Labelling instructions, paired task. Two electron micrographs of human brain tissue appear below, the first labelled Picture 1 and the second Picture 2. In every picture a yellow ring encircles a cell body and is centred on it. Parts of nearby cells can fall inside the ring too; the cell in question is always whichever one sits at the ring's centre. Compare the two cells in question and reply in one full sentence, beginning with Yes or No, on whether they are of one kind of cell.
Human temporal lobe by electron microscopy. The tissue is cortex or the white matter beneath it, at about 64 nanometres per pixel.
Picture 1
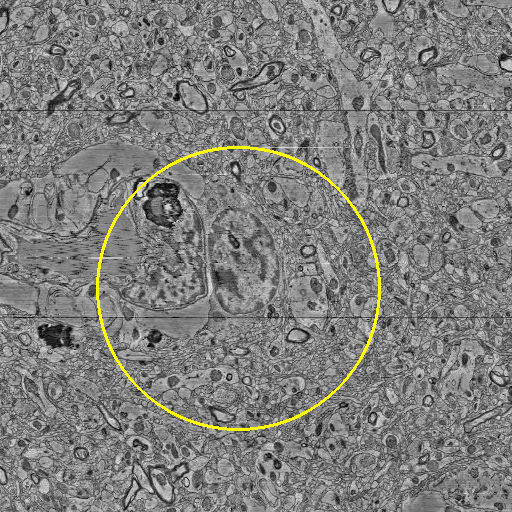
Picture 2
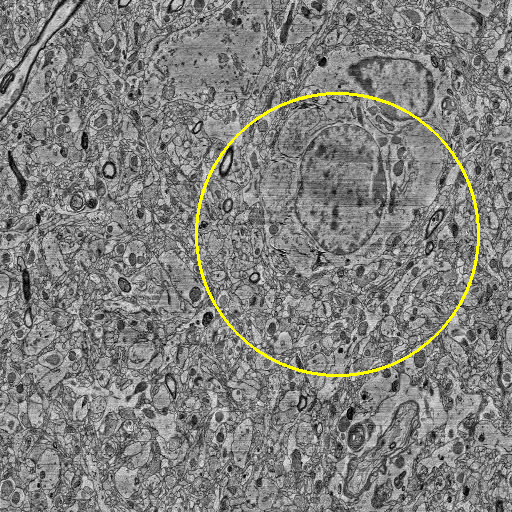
No, the two cells at the ring centres in Picture 1 and Picture 2 are of two kinds.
